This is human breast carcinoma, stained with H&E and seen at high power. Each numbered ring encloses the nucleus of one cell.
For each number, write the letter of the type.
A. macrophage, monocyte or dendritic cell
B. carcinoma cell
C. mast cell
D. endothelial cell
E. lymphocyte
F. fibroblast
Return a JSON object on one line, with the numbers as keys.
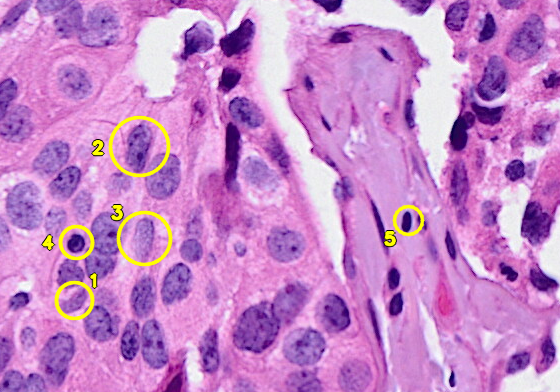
{"1": "B", "2": "B", "3": "B", "4": "E", "5": "E"}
